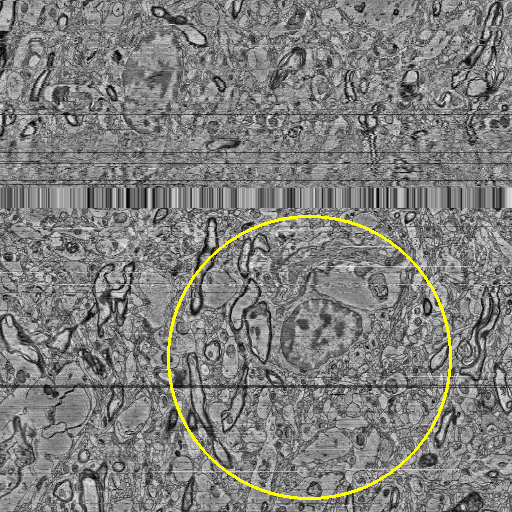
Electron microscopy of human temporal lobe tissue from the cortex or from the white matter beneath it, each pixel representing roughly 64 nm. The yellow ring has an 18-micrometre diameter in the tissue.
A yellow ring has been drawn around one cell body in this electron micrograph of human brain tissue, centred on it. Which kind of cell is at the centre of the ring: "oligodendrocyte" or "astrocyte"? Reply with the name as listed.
oligodendrocyte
